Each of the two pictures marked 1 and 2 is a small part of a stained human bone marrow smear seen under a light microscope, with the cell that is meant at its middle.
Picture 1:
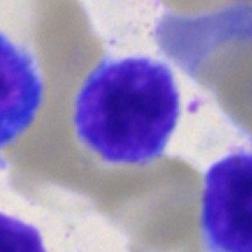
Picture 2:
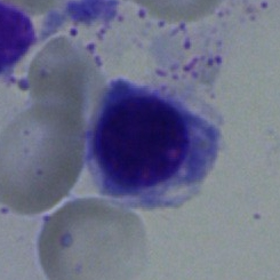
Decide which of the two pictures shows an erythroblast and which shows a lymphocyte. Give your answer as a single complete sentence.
In picture 1 the cell is a lymphocyte; in picture 2, an erythroblast.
